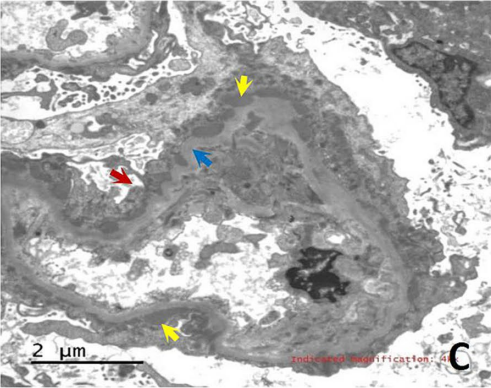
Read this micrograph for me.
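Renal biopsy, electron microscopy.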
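A glomerular capillary wall is seen at high magnification, with the basement membrane forming a broad grey band that is irregularly thickened along its course. Dark homogeneous deposits lie on the outer side of the basement membrane, beneath the overlying epithelial cell cytoplasm. The epithelial cytoplasm covering the membrane forms a continuous layer rather than separate foot processes. In places lighter basement membrane material extends around the dark deposits. A capillary lumen and a cell with a dark, irregular nucleus lie on the inner side.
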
